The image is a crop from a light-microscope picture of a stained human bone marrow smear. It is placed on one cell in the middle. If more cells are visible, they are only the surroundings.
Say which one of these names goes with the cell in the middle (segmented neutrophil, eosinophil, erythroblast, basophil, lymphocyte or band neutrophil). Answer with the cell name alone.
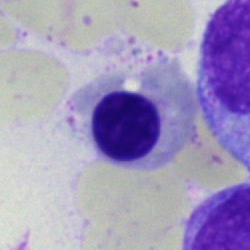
erythroblast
